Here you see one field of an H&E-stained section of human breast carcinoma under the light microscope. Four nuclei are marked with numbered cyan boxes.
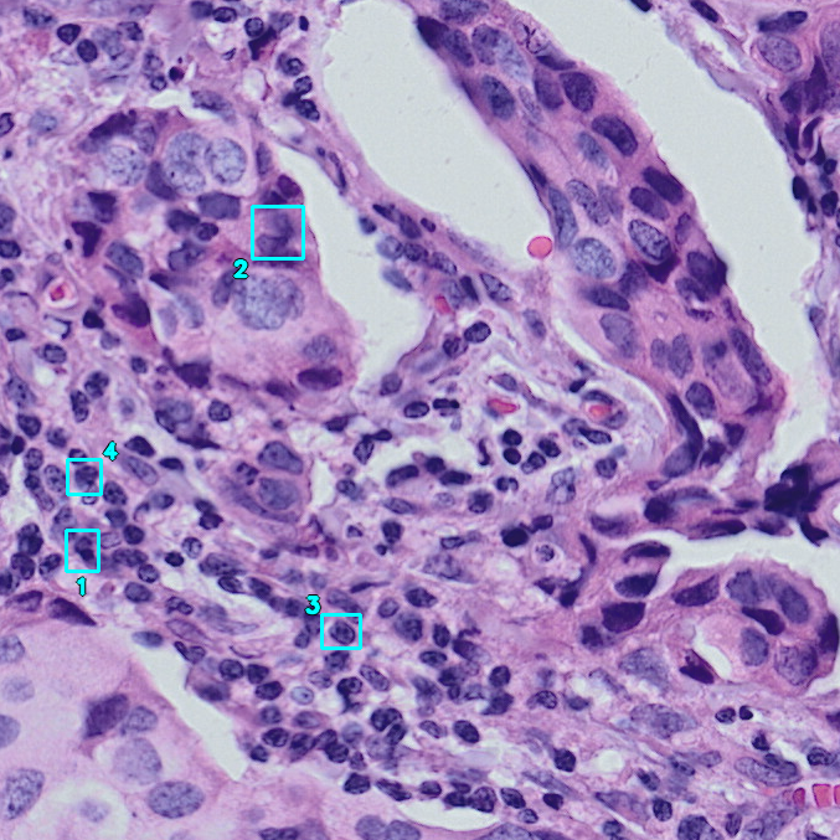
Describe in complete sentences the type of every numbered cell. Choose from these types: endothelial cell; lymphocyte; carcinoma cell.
Cell 1 is a lymphocyte, cell 2 is a carcinoma cell, cell 3 is a lymphocyte and cell 4 is a lymphocyte.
